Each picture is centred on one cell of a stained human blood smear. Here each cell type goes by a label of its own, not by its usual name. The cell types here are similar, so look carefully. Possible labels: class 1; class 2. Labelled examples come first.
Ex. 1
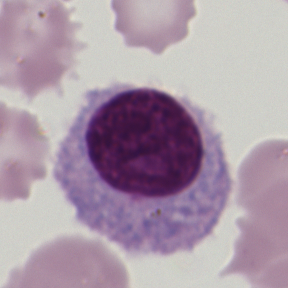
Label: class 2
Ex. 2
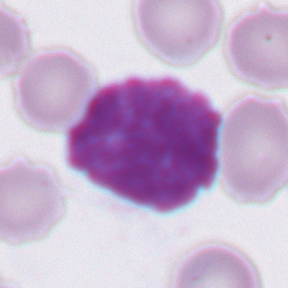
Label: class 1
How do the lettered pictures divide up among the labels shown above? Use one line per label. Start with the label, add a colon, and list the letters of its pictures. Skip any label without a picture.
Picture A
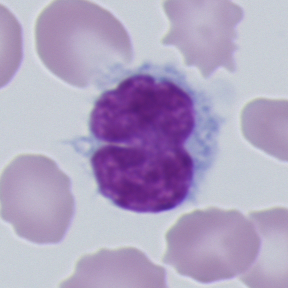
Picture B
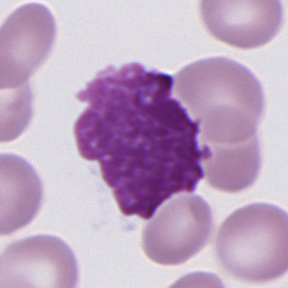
class 1: B
class 2: A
